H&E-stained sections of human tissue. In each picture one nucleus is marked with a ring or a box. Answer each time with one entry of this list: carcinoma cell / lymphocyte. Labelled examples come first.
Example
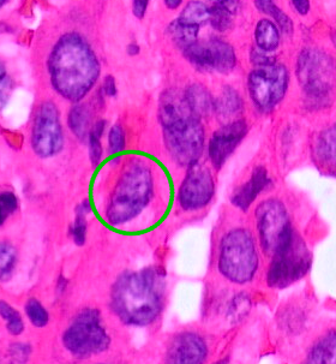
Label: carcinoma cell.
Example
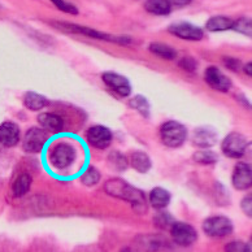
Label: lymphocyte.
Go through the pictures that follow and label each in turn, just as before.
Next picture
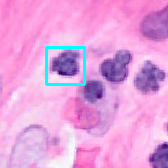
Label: lymphocyte.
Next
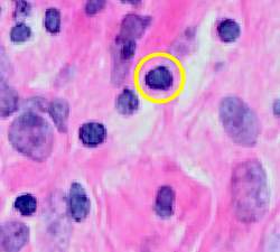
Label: lymphocyte.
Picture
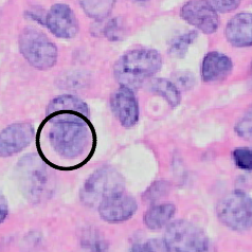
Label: carcinoma cell.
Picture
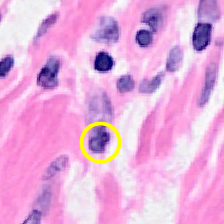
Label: lymphocyte.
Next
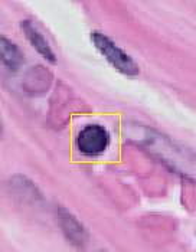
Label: lymphocyte.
